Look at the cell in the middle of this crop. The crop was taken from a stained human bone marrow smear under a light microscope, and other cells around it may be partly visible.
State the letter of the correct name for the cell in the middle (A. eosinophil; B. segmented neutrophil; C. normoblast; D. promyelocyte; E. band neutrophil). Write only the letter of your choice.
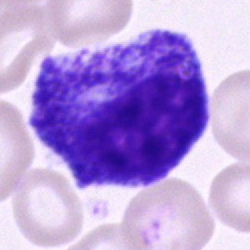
D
